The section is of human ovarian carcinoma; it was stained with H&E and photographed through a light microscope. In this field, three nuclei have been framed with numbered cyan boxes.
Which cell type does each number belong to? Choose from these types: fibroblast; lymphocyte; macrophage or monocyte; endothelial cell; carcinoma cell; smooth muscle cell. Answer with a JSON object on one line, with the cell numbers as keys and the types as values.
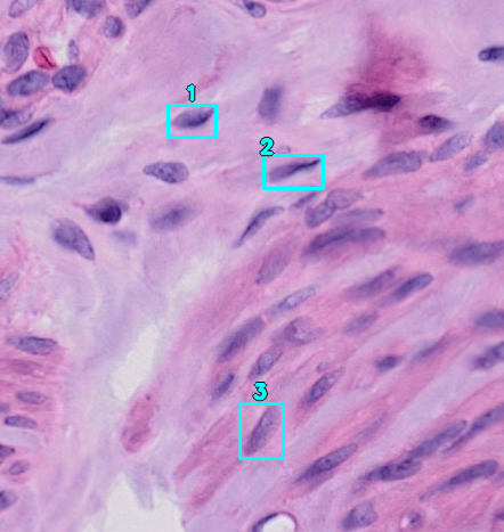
{"1": "fibroblast", "2": "fibroblast", "3": "smooth muscle cell"}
